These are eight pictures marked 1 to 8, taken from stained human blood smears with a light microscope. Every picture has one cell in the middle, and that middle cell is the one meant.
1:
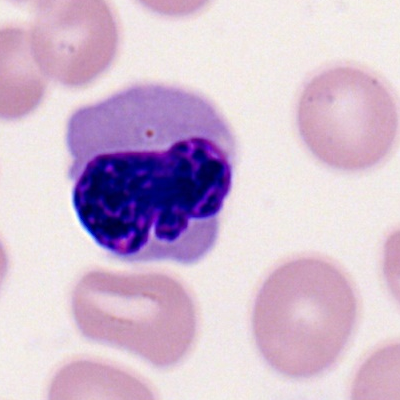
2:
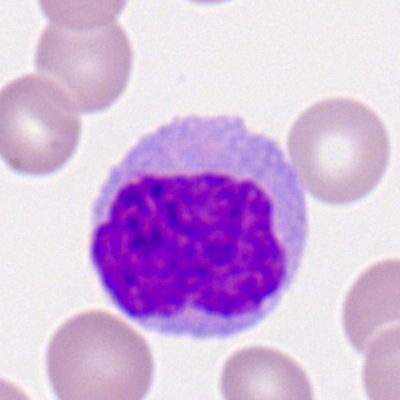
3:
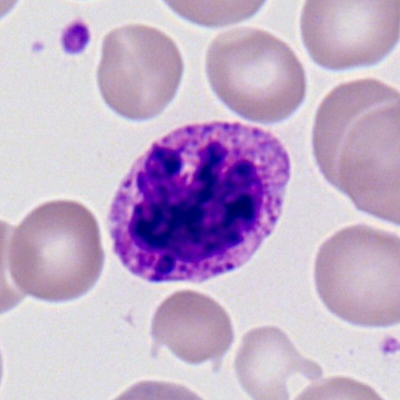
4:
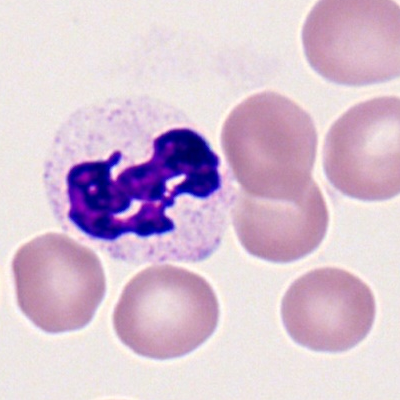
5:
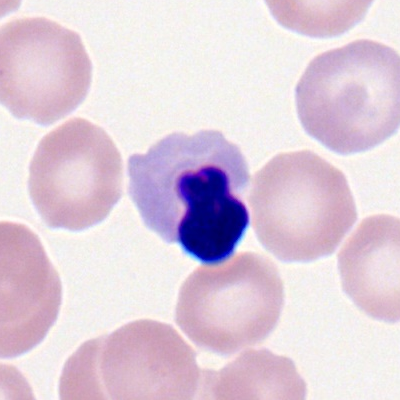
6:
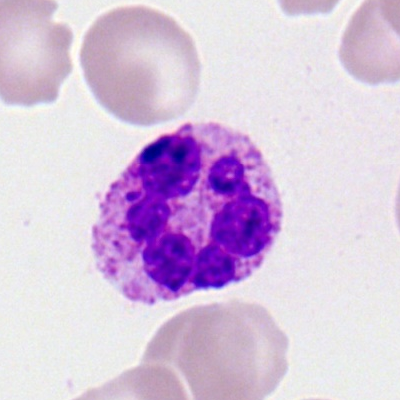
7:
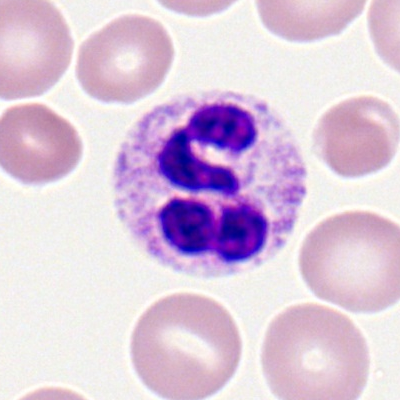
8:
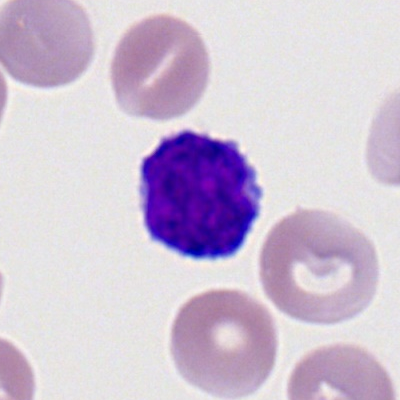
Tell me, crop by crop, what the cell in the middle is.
1: normoblast
2: monocyte
3: basophil
4: neutrophil
5: normoblast
6: basophil
7: neutrophil
8: lymphocyte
